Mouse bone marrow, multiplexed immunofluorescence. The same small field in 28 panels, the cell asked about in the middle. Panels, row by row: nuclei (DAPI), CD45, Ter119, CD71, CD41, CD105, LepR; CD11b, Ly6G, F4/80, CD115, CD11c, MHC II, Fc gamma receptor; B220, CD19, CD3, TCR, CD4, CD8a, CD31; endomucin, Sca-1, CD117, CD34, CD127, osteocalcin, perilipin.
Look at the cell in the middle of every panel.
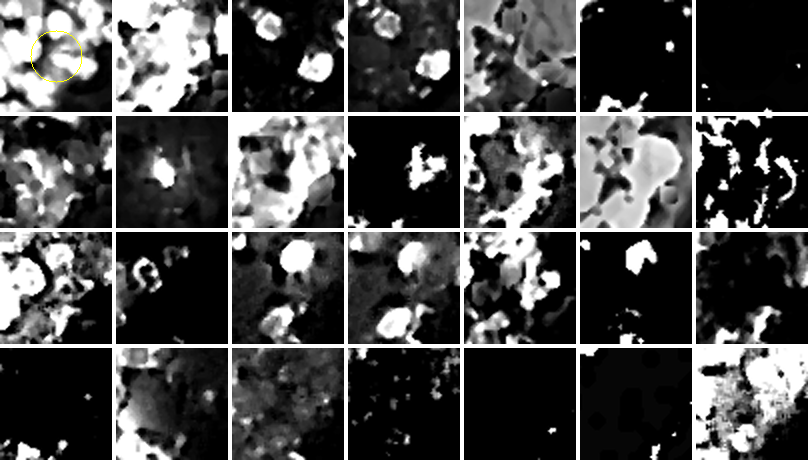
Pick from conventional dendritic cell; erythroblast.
conventional dendritic cell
